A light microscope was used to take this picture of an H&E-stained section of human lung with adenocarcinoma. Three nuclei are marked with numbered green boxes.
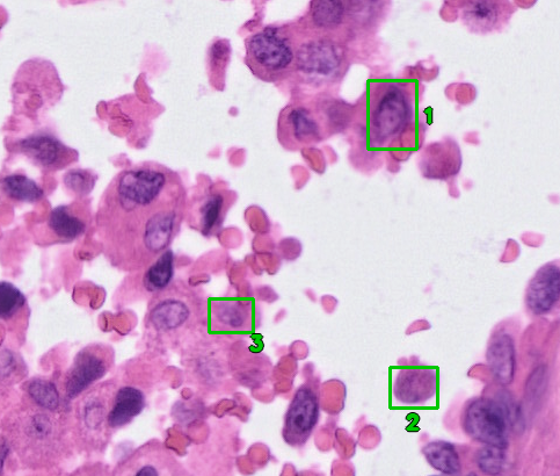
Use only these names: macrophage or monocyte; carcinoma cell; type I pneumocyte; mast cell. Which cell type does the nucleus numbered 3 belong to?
macrophage or monocyte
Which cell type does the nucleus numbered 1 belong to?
carcinoma cell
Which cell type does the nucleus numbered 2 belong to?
carcinoma cell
